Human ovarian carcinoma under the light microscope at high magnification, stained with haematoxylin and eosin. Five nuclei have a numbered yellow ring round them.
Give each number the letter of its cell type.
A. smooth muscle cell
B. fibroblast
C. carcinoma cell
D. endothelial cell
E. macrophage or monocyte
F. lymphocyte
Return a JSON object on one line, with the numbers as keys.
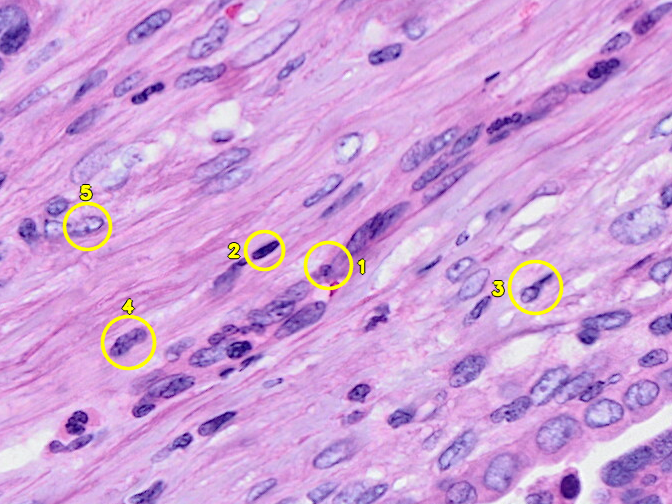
{"1": "D", "2": "F", "3": "E", "4": "E", "5": "B"}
